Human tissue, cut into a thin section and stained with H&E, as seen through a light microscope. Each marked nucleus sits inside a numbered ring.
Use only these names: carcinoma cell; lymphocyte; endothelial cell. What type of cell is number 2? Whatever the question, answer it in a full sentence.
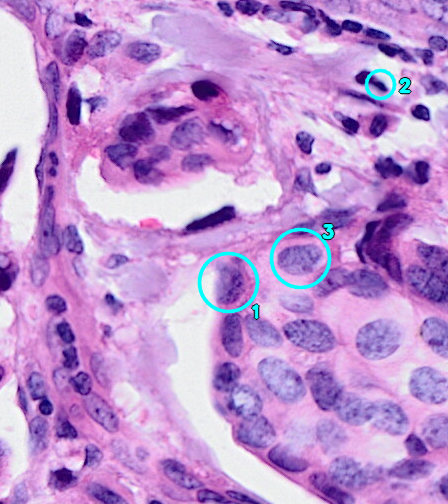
Number 2 among the marked cells is a lymphocyte.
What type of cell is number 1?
The numbered cell 1 in this field is a carcinoma cell.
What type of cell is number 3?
The nucleus with number 3 is that of a carcinoma cell.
